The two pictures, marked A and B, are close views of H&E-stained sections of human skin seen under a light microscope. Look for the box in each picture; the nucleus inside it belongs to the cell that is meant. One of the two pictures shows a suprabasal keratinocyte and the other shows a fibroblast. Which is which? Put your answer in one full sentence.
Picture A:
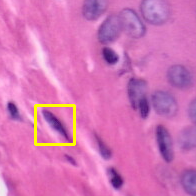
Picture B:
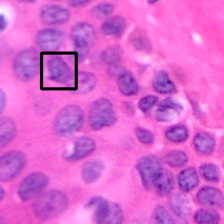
It is picture A that shows a fibroblast, and picture B that shows a suprabasal keratinocyte.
